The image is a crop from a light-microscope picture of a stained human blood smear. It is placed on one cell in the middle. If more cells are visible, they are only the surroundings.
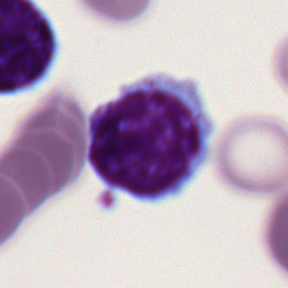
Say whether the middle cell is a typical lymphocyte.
yes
